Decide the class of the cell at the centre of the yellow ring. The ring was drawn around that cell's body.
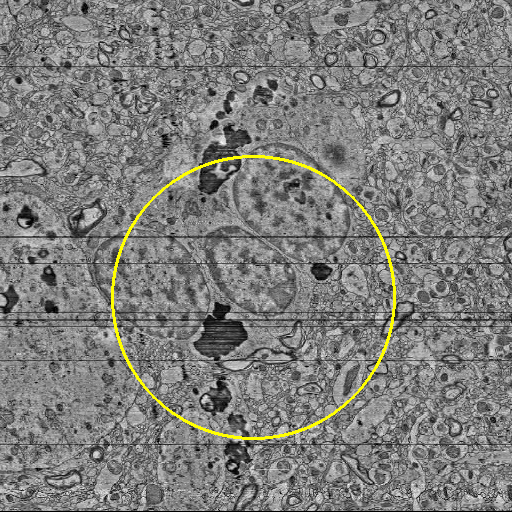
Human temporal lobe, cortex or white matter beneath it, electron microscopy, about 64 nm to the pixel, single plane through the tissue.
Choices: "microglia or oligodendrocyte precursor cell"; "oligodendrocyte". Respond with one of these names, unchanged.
oligodendrocyte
